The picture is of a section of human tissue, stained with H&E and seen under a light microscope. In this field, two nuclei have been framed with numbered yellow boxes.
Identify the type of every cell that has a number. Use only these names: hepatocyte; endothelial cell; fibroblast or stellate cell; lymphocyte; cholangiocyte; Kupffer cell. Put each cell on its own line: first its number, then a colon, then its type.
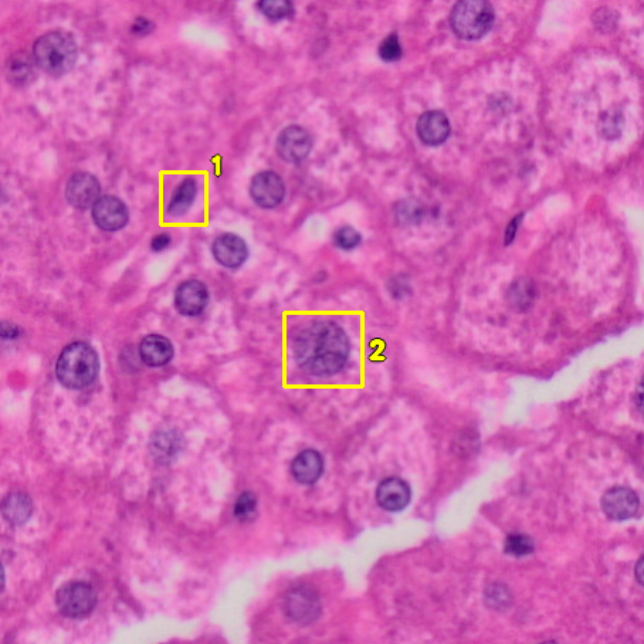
1: endothelial cell
2: hepatocyte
